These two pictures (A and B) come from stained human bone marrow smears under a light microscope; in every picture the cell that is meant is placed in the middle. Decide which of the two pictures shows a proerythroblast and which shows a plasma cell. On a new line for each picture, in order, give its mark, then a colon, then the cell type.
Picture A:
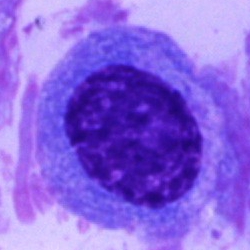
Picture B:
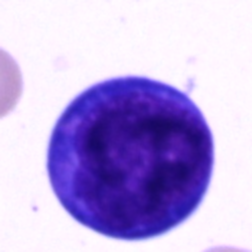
A: plasma cell
B: proerythroblast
